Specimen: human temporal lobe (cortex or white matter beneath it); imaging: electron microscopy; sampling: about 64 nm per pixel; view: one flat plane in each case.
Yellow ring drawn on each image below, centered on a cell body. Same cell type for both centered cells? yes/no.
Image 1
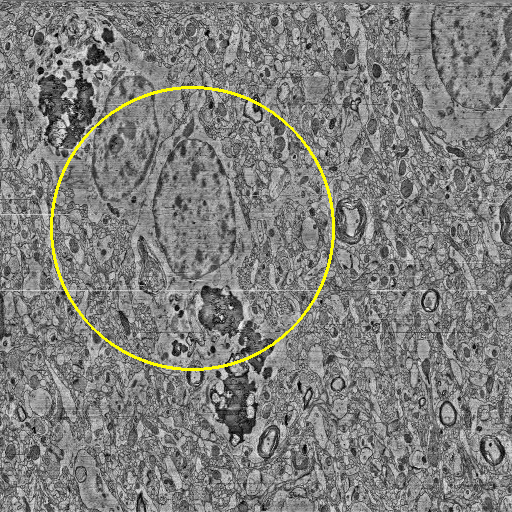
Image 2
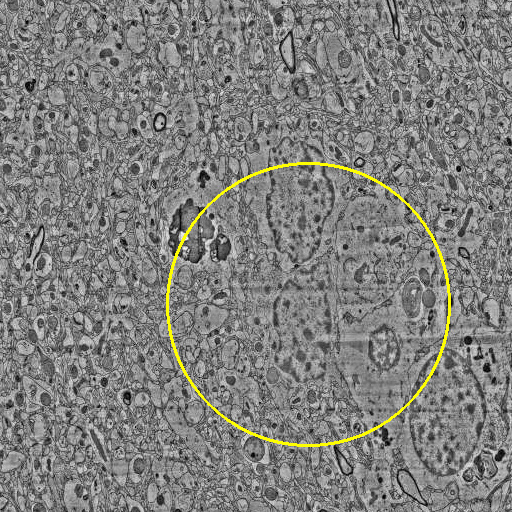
no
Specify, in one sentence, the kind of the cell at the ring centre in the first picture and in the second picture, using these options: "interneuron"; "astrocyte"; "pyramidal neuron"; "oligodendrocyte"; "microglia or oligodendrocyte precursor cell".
So the first is an astrocyte, the second a microglial cell or oligodendrocyte precursor cell.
